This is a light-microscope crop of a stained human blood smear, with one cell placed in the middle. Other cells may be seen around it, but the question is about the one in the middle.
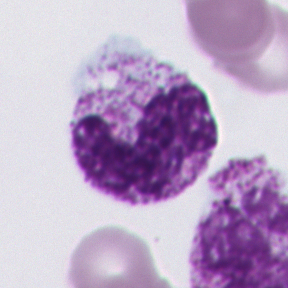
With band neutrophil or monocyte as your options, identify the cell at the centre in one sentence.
The middle of this crop holds a band neutrophil.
